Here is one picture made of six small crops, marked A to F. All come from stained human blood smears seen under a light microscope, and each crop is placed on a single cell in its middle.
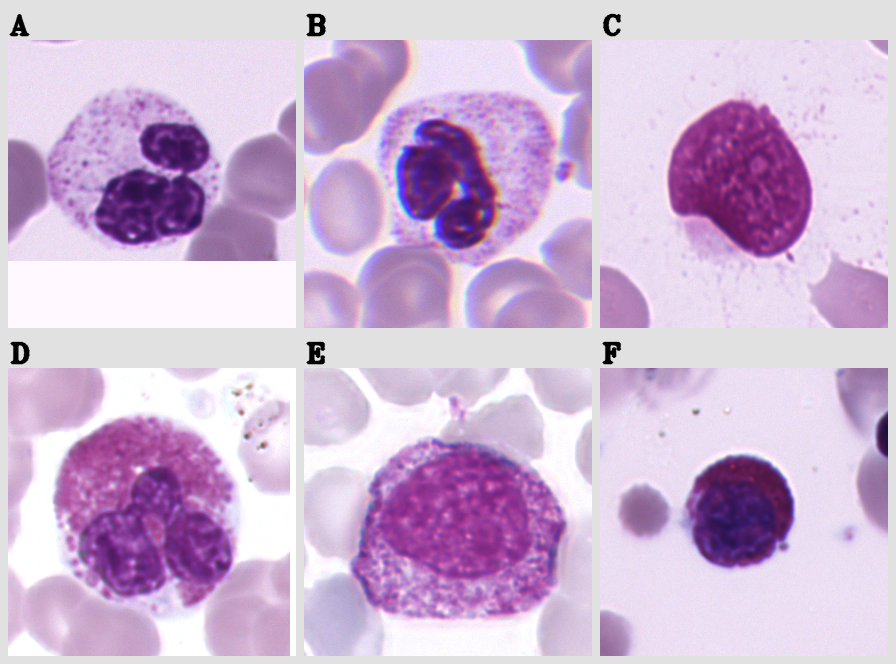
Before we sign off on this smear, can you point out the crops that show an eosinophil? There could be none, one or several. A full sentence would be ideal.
Crops D and F contain eosinophils as their central cells.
